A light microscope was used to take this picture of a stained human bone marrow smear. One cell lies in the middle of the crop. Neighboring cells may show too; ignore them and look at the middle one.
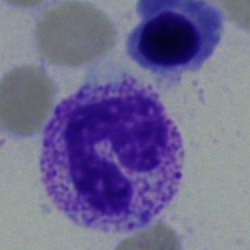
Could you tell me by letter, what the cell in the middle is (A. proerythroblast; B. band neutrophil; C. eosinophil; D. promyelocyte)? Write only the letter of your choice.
B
